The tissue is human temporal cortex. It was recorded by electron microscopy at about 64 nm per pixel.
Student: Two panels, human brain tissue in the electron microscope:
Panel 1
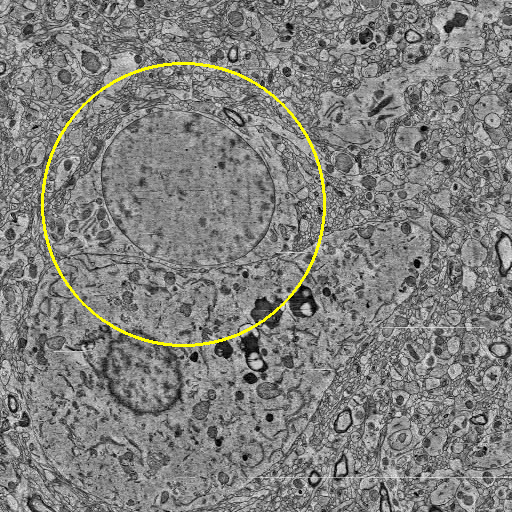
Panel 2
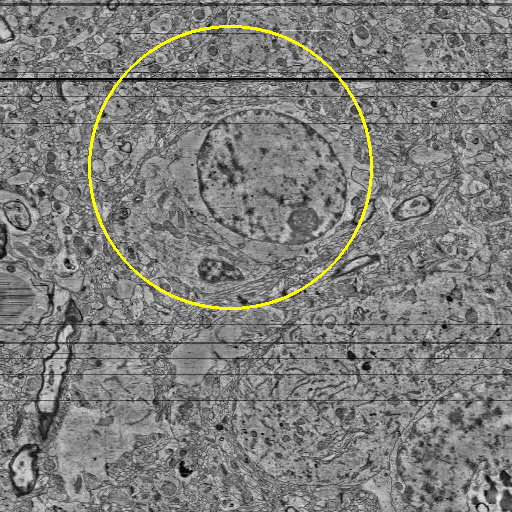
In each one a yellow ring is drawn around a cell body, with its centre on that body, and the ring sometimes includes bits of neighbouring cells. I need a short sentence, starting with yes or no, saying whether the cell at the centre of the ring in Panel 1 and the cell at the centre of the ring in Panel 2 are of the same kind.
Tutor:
Yes, they are the same kind of cell.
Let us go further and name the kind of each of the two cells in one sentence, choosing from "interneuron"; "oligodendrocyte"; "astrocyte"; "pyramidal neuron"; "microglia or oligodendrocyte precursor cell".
In each of the two pictures, the ringed cell is an astrocyte.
